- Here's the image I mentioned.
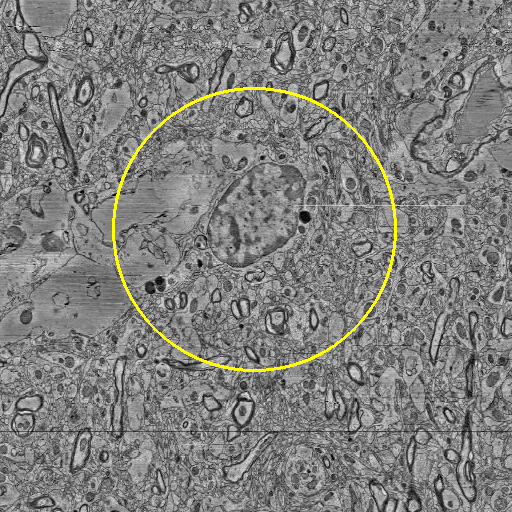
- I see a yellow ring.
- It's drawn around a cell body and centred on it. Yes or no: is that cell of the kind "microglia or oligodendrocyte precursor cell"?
yes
